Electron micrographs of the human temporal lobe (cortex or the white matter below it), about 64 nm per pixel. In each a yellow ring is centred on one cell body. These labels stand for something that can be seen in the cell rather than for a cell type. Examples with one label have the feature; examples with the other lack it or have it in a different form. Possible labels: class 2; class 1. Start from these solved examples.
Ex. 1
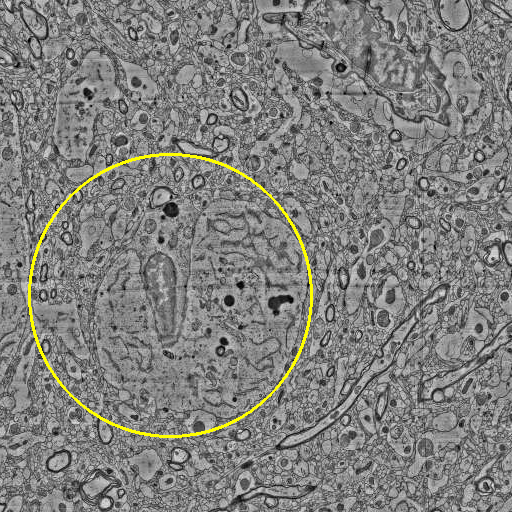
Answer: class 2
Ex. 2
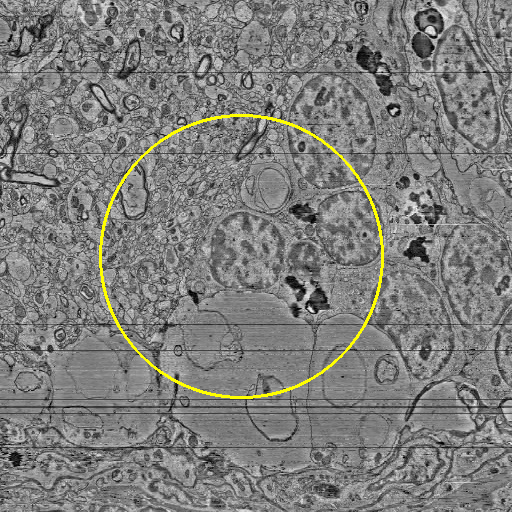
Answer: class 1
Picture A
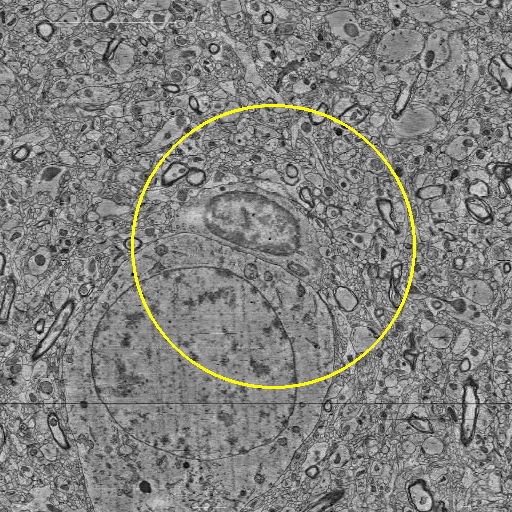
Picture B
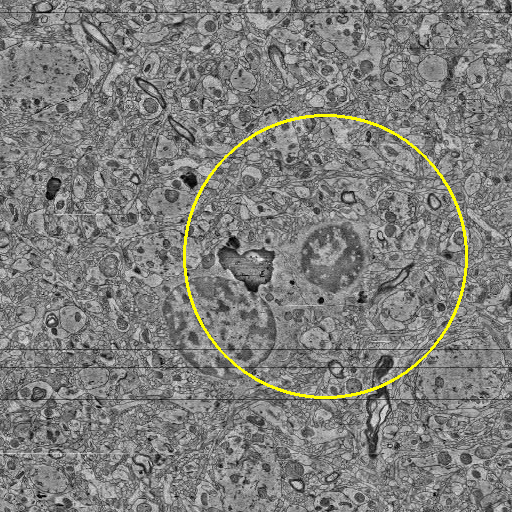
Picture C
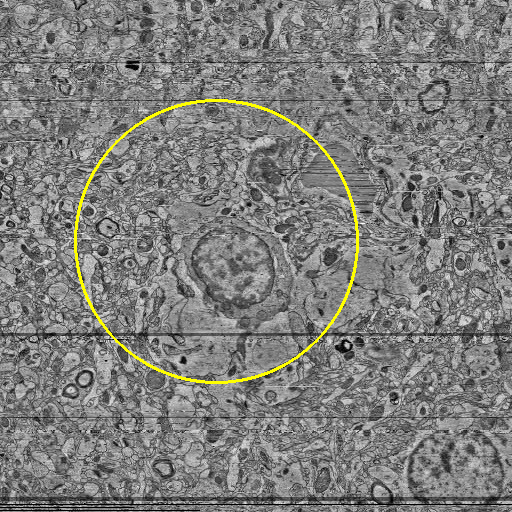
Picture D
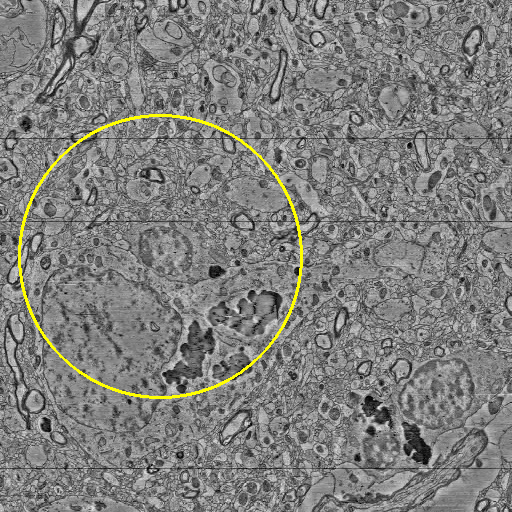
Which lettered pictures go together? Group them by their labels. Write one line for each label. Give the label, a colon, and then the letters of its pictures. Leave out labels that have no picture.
class 2: A
class 1: B, C, D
